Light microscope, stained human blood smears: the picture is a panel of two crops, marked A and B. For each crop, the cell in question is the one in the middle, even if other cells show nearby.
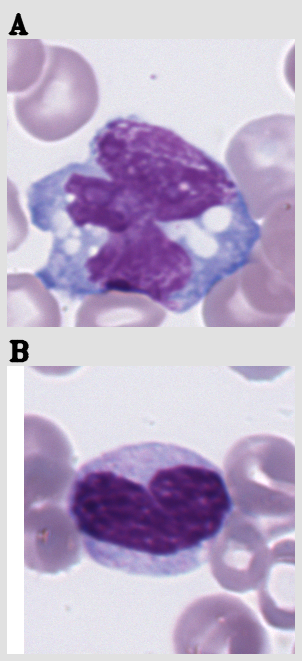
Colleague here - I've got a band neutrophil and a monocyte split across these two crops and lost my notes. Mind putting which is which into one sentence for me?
What crop A shows is a monocyte, and what crop B shows is a band neutrophil.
